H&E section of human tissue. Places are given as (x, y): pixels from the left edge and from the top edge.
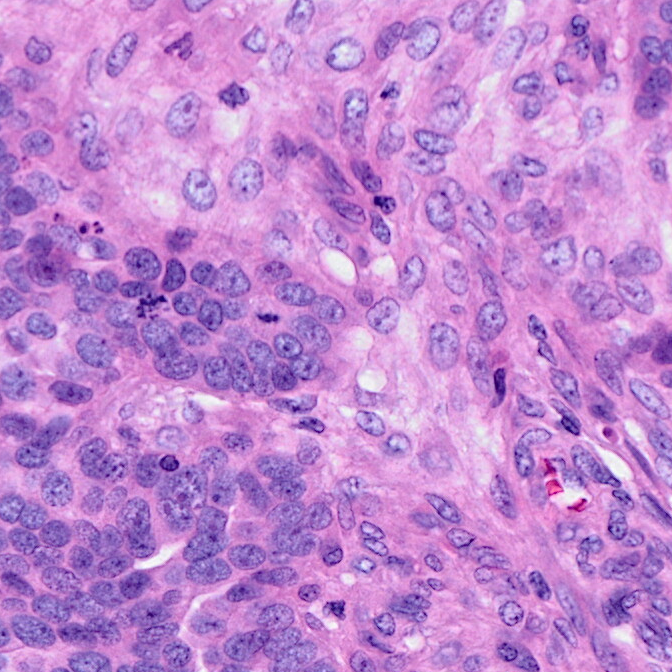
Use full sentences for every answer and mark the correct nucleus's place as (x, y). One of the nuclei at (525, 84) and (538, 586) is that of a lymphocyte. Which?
Which one belongs to a lymphocyte? The nucleus at (538, 586) does.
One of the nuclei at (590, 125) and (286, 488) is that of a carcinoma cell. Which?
The nucleus of the pair that lies within a carcinoma cell is at (286, 488).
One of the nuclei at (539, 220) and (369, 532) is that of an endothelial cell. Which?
Of the pair, the nucleus located at (369, 532) belongs to an endothelial cell.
